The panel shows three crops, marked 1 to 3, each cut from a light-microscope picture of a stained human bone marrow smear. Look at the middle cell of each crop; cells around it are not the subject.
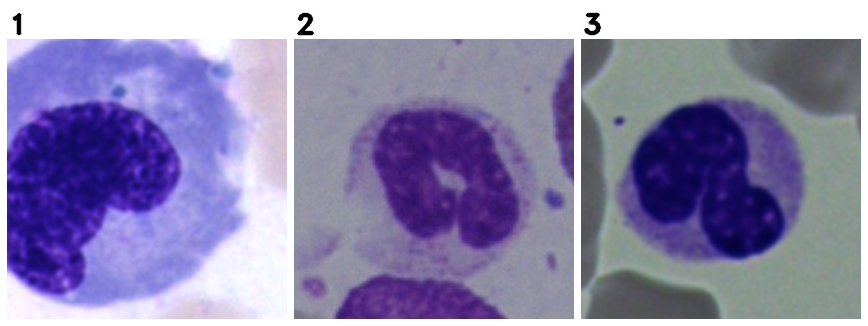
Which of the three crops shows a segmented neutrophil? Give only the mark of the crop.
2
